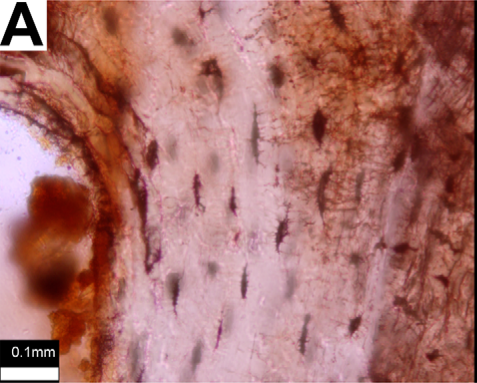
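Bone tissue with osteocyte lacunae seen in a thin section. Small dark cavities lie scattered in a pale matrix; most are elongate and spindle-shaped, several roughly parallel to one another. Fine dark threads, the canaliculi, leave the cavities and run into the matrix. Toward the left edge a curved, layered brown band borders an open space holding a brown mass. Toward the right the matrix carries denser brown streaks and fibres, some running obliquely. Out-of-focus grey cavities at other depths of the section appear as blurred shapes.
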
